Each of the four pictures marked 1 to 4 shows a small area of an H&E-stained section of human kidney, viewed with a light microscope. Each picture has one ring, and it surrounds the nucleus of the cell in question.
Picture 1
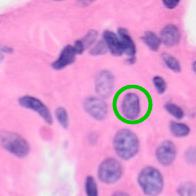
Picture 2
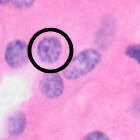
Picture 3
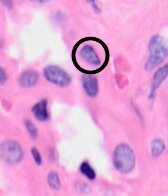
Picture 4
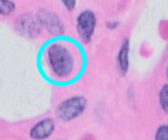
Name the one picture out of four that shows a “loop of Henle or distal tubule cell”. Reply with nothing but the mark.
1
